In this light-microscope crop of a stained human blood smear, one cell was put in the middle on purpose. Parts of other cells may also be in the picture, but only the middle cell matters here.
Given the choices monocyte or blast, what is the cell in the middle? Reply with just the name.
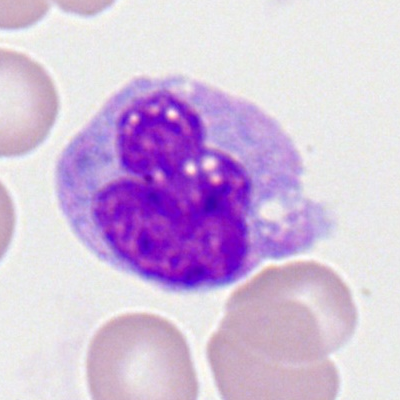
monocyte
